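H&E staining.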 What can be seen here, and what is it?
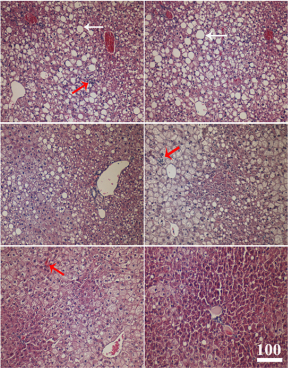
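These are sections of liver in which hepatocytes, stained pink with blue-purple nuclei, are arranged around vessels, some of which contain red blood cells. In the upper rows many hepatocytes are filled with clear, round, empty-looking vacuoles of varying size, so the tissue looks pale and foamy. In the lowest row the hepatocytes are mostly polygonal with pink cytoplasm and central nuclei, and clear vacuoles are scarce. Small dark nuclei lie scattered between the hepatocytes in places.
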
